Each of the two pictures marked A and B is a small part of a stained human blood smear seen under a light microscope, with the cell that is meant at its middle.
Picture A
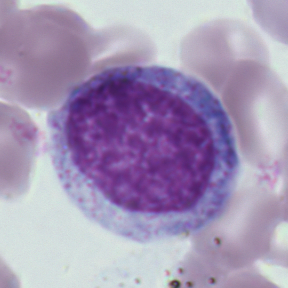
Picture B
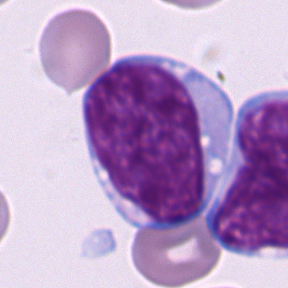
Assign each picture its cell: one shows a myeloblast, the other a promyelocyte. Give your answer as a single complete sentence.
Picture A shows a promyelocyte and picture B shows a myeloblast.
